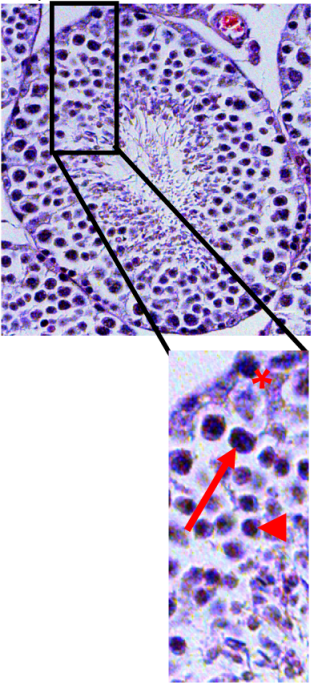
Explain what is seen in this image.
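This is a cross-section of a seminiferous tubule with germ cells arranged in concentric layers around a central lumen. Spermatogonia sit along the basal wall of the tubule. Large spermatocytes with round, coarsely stained purple nuclei lie just inside them. Smaller round spermatids with round nuclei fill the layers toward the lumen. Elongated spermatid heads and tails gather at the lumen, and the layering looks orderly and complete.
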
